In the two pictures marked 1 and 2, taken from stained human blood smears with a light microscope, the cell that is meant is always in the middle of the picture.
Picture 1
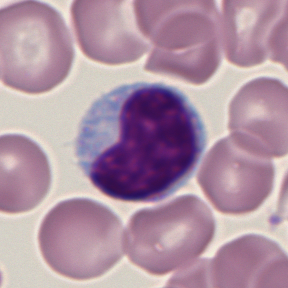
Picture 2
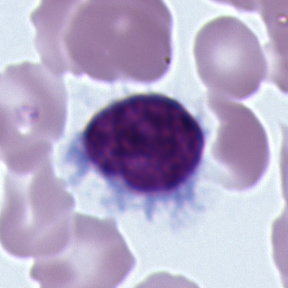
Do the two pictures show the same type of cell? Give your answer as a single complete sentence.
No. Picture 1 shows a typical lymphocyte, but picture 2 shows a hairy cell.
